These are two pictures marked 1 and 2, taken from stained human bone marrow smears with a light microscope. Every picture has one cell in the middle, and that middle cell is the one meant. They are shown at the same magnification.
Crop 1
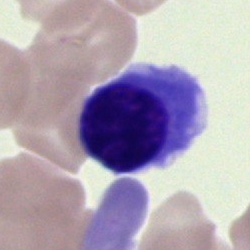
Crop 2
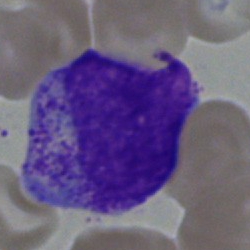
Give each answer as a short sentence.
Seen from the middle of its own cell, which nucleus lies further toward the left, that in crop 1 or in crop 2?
Seen within its cell, the nucleus in crop 1 lies further toward the left.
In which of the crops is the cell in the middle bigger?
Crop 2 holds the larger cell; it covers about 2 times the area of the cell in crop 1.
